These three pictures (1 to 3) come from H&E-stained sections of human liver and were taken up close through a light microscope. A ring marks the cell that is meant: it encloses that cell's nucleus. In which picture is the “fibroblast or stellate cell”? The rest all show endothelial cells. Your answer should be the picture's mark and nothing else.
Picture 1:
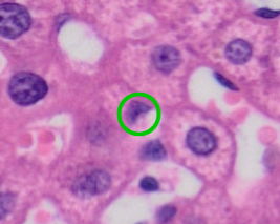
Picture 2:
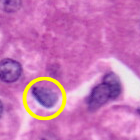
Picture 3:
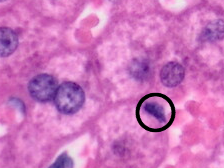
3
